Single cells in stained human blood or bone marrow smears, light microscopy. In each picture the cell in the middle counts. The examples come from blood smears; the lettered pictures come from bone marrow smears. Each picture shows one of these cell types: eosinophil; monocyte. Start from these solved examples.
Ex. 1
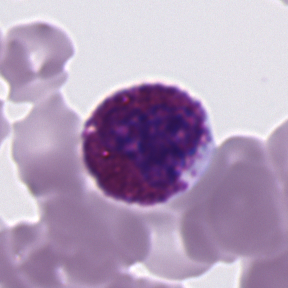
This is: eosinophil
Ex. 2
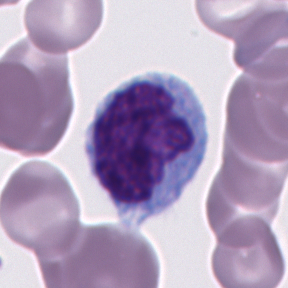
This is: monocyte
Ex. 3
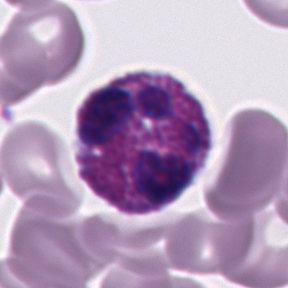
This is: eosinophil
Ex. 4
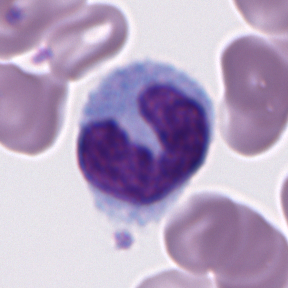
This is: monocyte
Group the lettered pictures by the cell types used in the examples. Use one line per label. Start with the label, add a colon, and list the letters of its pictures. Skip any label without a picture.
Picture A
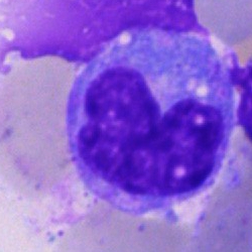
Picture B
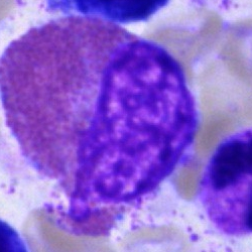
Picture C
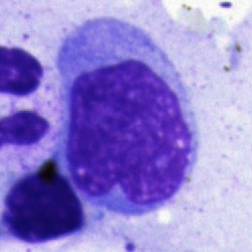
eosinophil: B
monocyte: A, C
